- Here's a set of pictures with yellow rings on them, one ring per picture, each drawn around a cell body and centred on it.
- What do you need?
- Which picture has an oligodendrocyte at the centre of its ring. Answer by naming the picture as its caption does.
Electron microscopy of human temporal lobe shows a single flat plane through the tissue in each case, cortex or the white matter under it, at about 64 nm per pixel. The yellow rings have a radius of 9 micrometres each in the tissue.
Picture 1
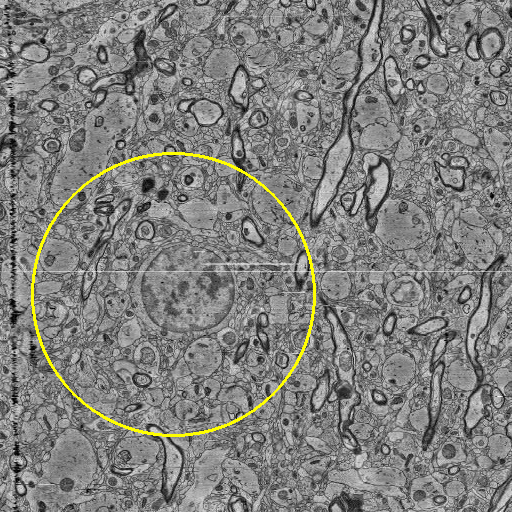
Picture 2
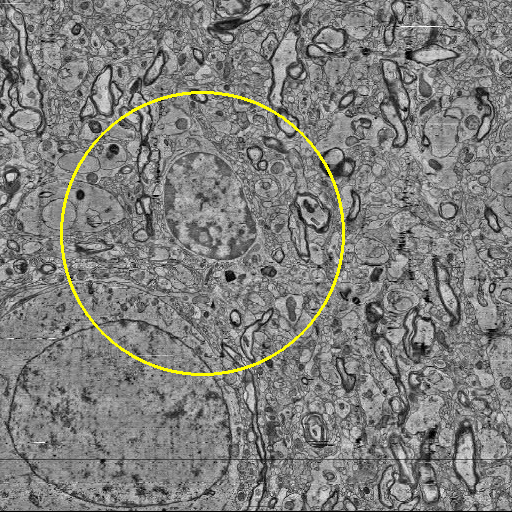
Picture 1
